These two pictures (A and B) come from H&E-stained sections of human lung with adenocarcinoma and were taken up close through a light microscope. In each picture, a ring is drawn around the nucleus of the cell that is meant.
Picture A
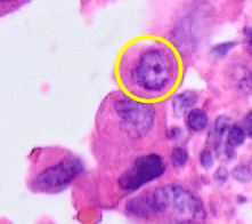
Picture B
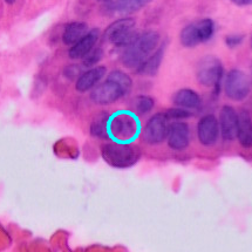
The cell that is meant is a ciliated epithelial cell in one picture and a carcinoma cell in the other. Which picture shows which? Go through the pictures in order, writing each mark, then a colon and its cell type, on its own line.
A: carcinoma cell
B: ciliated epithelial cell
